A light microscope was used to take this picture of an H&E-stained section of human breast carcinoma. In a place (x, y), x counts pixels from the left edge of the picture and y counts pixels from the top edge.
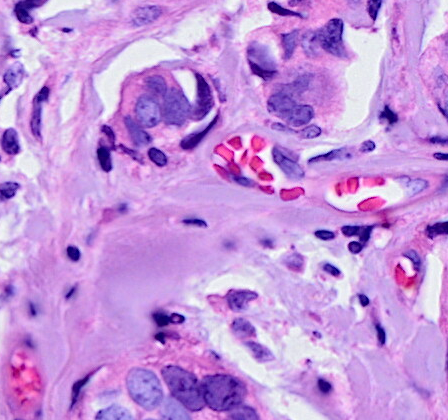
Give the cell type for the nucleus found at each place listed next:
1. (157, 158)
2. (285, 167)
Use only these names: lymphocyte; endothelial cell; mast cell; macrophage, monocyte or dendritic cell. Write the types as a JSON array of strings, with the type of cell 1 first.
["lymphocyte", "endothelial cell"]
